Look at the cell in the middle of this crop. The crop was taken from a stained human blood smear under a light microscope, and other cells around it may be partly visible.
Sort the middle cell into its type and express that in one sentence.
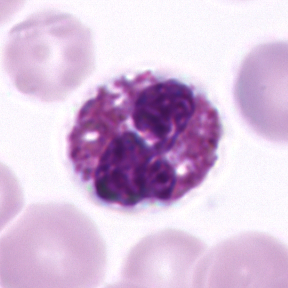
This crop has an eosinophil at its centre.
